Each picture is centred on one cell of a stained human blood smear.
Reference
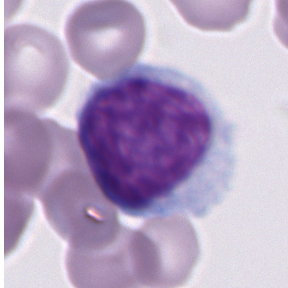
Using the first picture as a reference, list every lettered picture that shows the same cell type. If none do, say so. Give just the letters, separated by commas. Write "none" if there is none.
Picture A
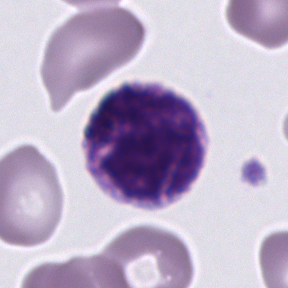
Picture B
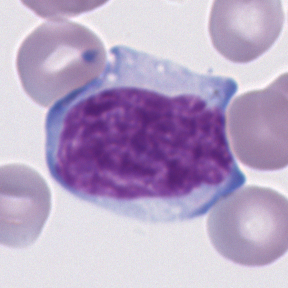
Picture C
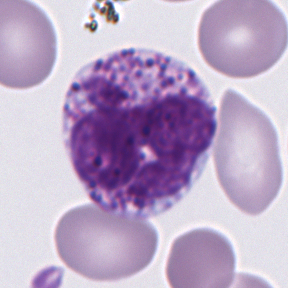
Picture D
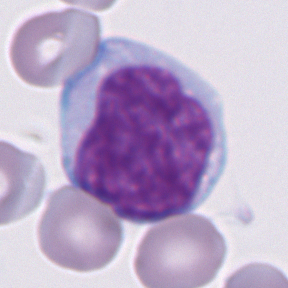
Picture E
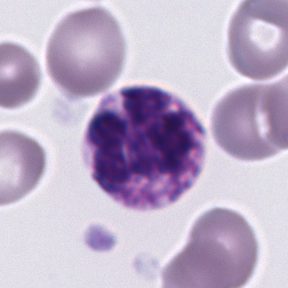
B, D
